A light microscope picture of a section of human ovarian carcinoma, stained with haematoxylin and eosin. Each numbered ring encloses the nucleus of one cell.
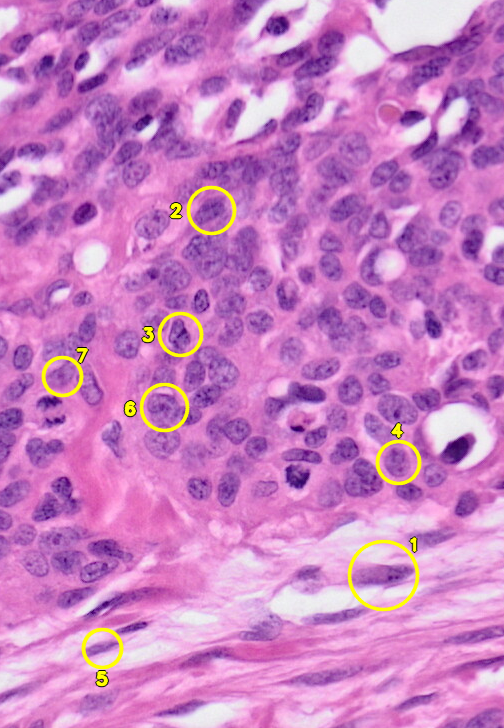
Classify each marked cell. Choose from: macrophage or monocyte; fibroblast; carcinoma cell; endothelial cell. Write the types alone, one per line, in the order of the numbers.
fibroblast
carcinoma cell
macrophage or monocyte
carcinoma cell
fibroblast
carcinoma cell
carcinoma cell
